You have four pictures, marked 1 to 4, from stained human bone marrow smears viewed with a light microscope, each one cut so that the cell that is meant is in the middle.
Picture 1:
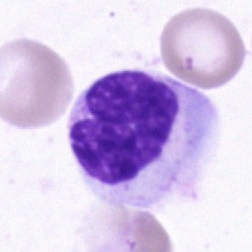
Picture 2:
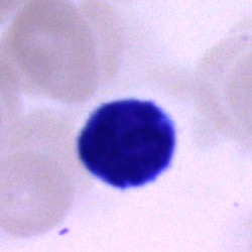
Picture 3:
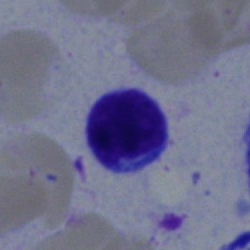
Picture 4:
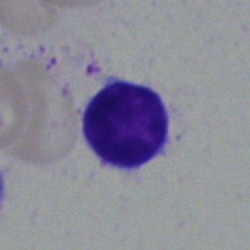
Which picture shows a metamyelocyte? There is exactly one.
1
